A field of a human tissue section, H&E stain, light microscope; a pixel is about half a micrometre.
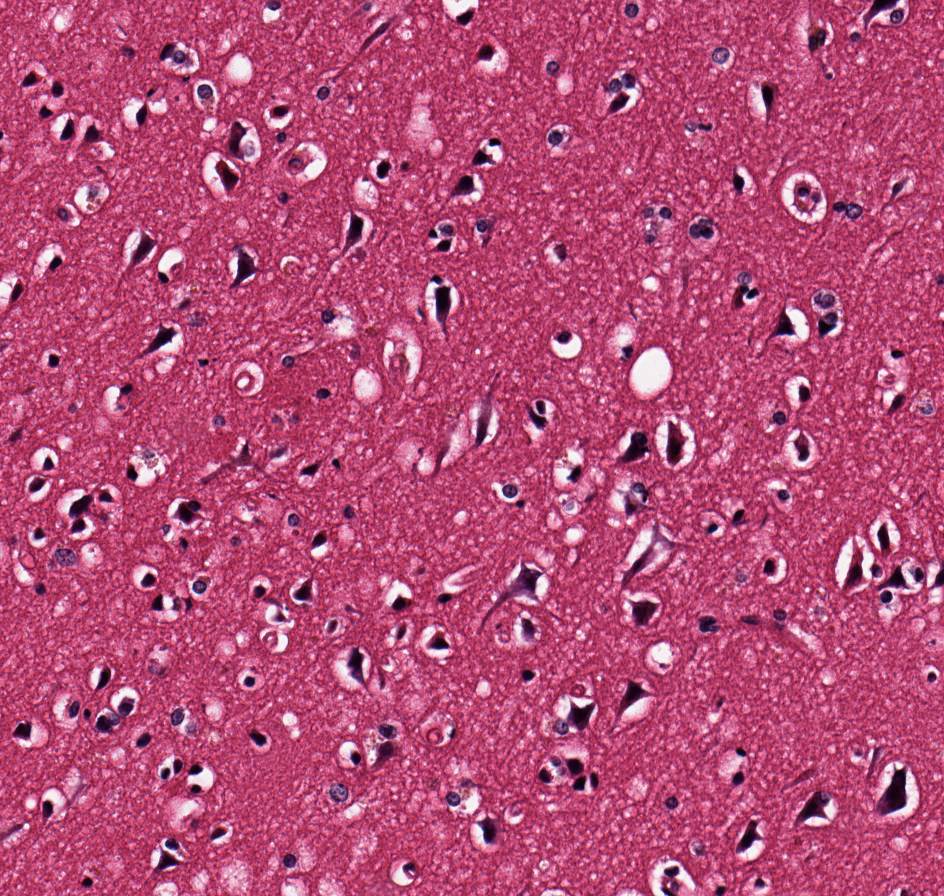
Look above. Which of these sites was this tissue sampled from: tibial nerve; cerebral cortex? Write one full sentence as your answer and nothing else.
Obtained from the cerebral cortex, the tissue was sectioned for this slide.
